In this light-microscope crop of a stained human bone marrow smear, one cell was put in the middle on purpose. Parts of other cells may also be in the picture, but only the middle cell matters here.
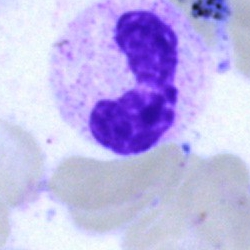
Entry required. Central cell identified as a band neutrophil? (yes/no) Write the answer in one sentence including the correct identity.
No, the central cell isn't a band neutrophil, but a segmented neutrophil.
